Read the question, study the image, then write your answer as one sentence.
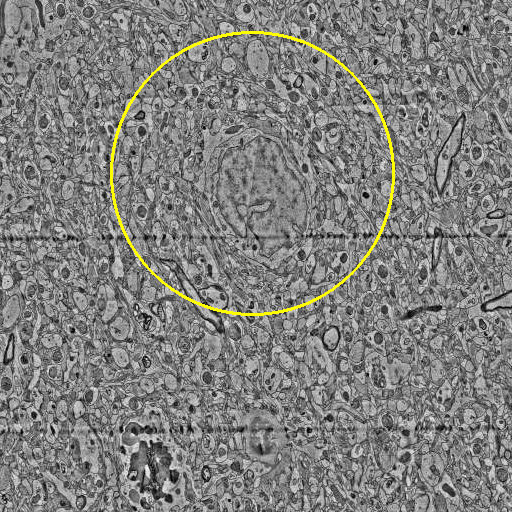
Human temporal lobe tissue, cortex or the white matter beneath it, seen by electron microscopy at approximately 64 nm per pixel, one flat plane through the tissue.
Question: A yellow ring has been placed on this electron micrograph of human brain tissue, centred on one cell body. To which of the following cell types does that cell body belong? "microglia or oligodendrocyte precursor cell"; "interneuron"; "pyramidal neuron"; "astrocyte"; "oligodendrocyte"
That cell body belongs to an interneuron.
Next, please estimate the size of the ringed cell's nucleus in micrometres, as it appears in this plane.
In this plane the nucleus is about 7 micrometres across.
